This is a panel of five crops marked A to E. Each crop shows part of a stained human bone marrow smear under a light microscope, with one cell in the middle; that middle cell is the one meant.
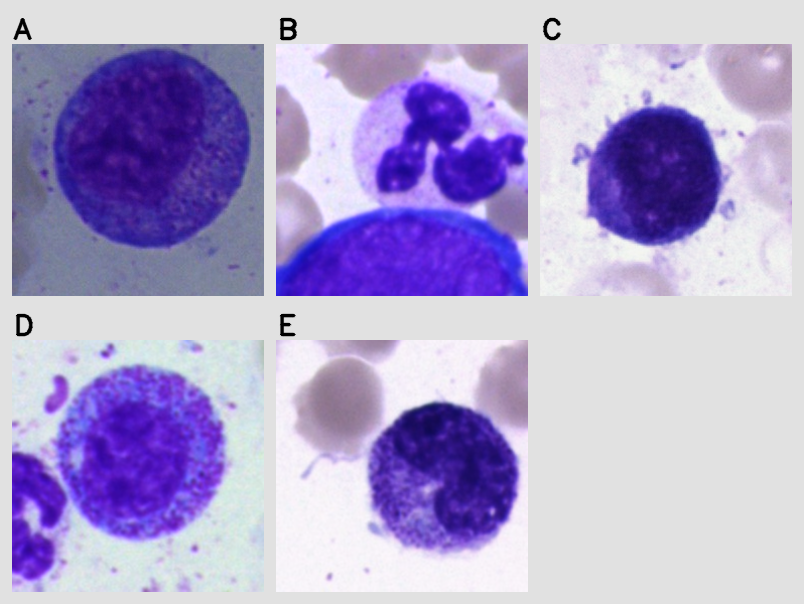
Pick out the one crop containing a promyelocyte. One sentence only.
The cell at the center of crop A is the one that is a promyelocyte.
